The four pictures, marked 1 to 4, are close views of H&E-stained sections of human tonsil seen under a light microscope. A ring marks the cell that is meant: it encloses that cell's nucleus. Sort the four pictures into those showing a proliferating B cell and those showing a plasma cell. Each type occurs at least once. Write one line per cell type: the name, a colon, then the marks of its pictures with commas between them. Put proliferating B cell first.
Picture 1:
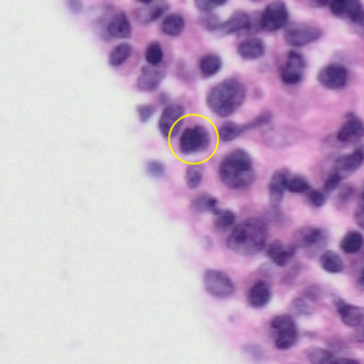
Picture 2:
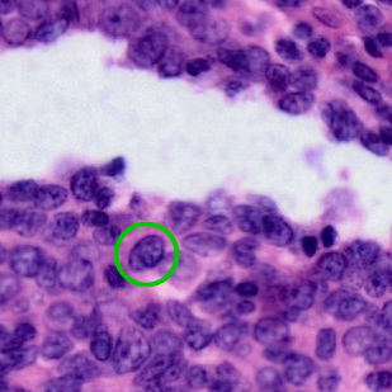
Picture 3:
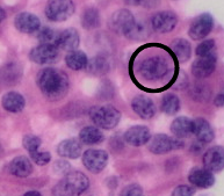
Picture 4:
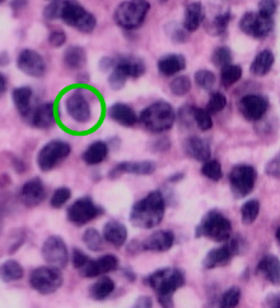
proliferating B cell: 1, 2, 4
plasma cell: 3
